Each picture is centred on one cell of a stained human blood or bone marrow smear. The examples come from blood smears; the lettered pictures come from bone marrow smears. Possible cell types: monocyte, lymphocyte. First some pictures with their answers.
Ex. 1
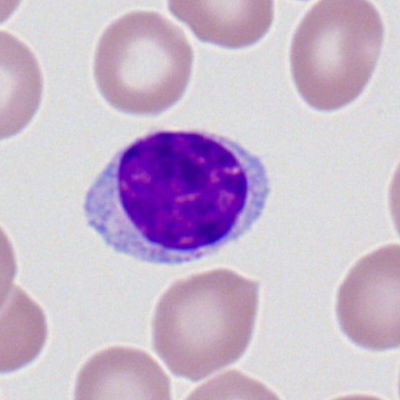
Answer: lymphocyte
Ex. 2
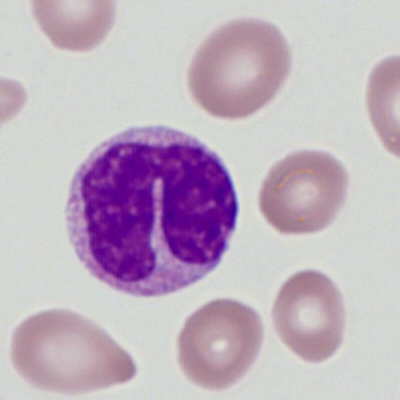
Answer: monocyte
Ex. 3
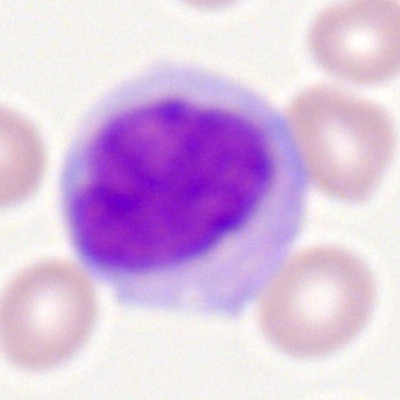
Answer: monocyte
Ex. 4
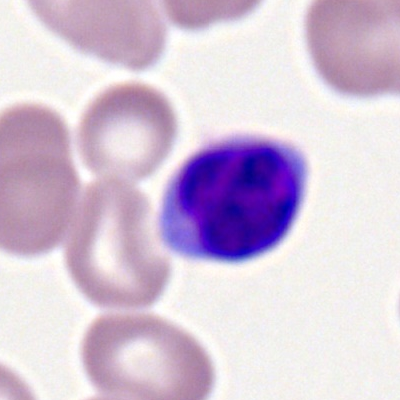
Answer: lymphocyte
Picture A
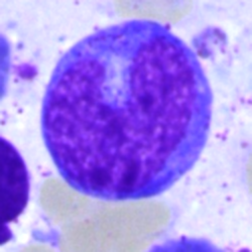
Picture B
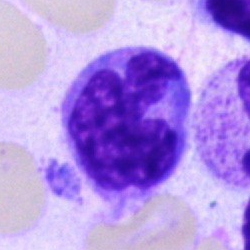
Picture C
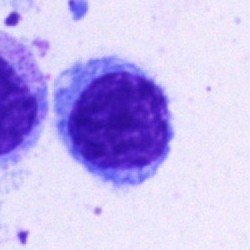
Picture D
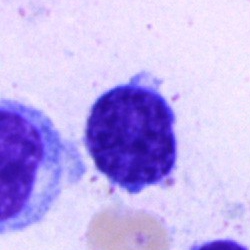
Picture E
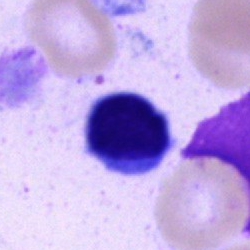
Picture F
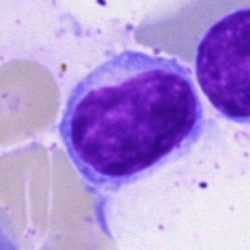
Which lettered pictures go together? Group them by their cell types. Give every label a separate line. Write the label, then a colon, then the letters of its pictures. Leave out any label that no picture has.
monocyte: A, B
lymphocyte: C, D, E, F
